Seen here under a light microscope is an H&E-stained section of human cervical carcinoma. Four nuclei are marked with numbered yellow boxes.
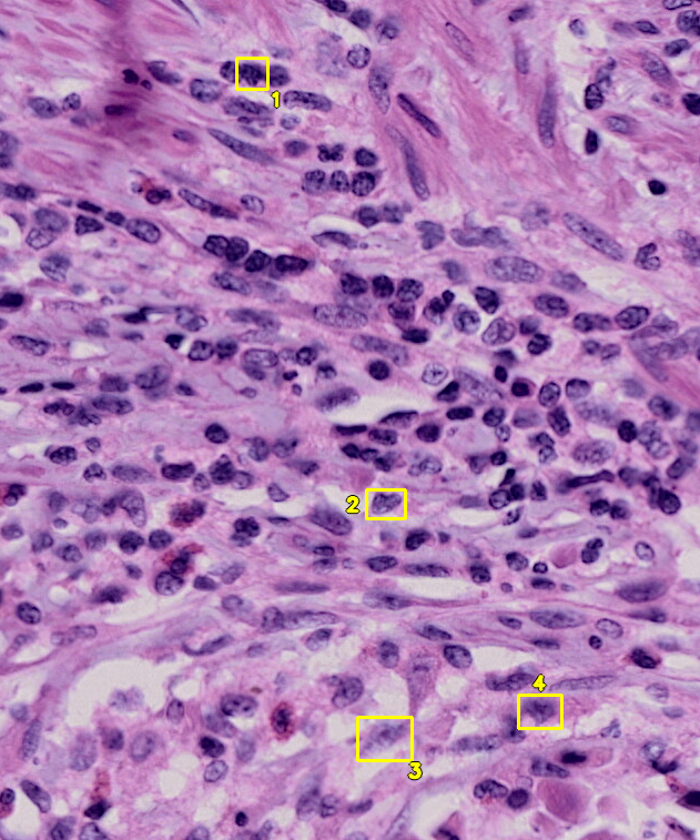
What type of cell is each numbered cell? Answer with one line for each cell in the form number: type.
1: lymphocyte
2: lymphocyte
3: fibroblast
4: macrophage or monocyte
